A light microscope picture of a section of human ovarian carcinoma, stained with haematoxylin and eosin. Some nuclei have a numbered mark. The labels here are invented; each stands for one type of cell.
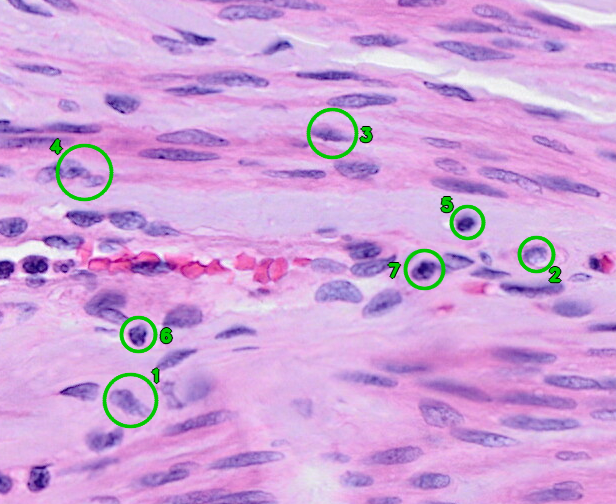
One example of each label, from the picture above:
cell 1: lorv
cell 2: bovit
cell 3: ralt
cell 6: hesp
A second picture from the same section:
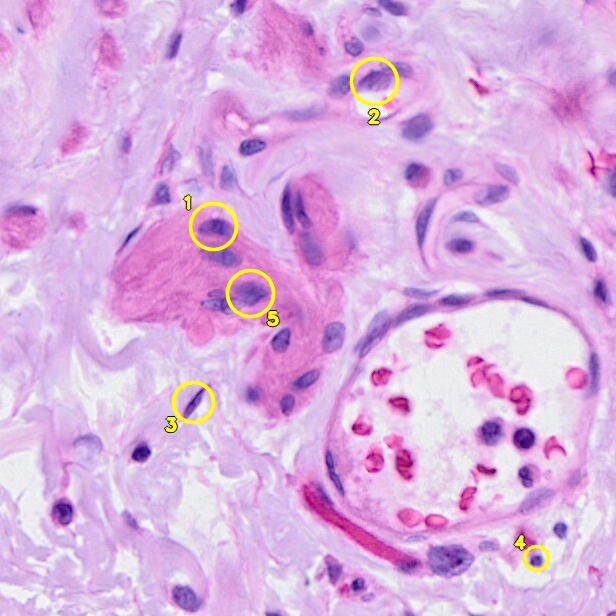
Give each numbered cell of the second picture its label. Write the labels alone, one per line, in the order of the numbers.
ralt
bovit
lorv
hesp
ralt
